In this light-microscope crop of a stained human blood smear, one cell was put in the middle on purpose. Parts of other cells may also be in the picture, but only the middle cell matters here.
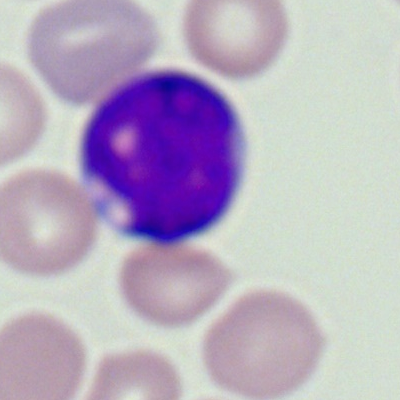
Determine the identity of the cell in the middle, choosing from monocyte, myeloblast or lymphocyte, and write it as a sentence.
At the center of the crop sits a myeloblast.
